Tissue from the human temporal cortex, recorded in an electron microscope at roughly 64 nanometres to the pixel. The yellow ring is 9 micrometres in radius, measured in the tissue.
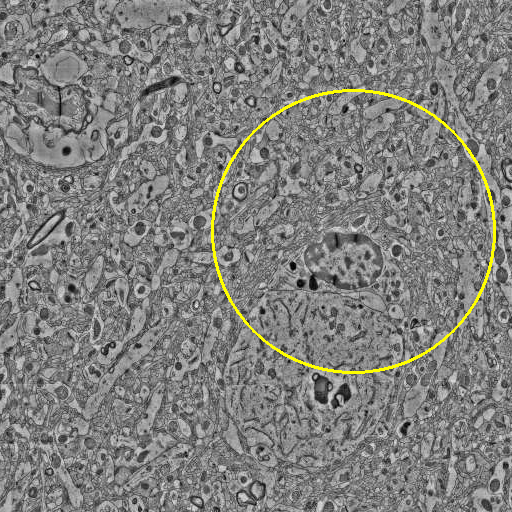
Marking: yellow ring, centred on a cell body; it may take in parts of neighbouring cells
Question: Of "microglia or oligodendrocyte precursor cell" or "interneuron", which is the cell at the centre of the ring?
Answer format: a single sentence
The ring surrounds the body of a microglial cell or oligodendrocyte precursor cell.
